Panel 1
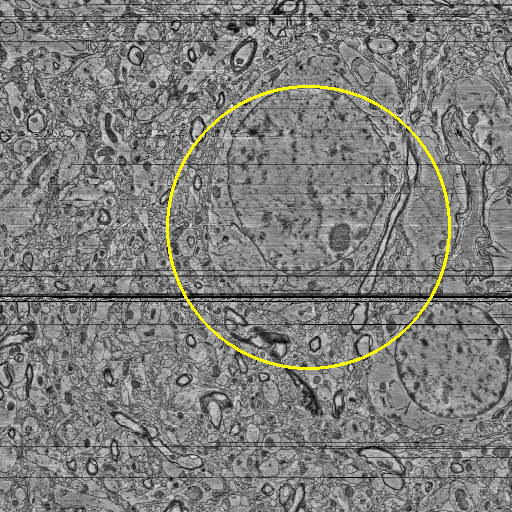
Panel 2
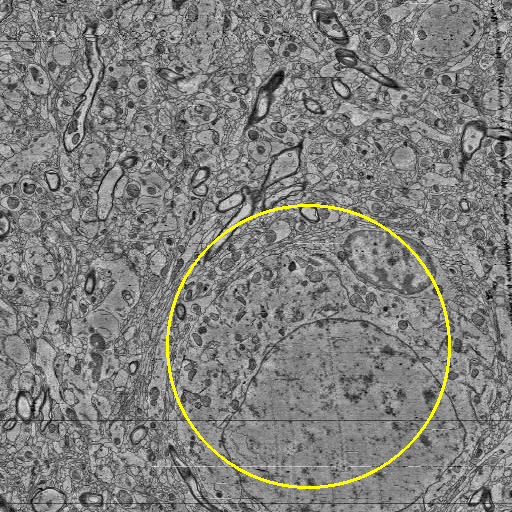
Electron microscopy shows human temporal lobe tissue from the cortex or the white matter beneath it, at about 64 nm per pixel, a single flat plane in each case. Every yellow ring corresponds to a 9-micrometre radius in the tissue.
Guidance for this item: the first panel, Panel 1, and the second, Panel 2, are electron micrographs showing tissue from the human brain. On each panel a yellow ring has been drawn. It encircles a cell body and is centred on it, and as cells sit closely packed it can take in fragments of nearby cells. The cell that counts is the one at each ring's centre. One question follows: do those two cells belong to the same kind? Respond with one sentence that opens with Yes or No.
Yes, the cells at the ring centres in Panel 1 and Panel 2 are of one kind.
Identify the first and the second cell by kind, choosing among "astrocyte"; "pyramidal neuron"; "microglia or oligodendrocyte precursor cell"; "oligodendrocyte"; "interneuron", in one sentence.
Each of the two rings surrounds a pyramidal neuron.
